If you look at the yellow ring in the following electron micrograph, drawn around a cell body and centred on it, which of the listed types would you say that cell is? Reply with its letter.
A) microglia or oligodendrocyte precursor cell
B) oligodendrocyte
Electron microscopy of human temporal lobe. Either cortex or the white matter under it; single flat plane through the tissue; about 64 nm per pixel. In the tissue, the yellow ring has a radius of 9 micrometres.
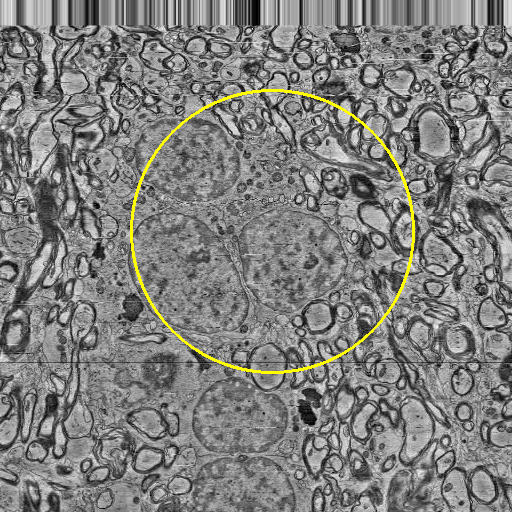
B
